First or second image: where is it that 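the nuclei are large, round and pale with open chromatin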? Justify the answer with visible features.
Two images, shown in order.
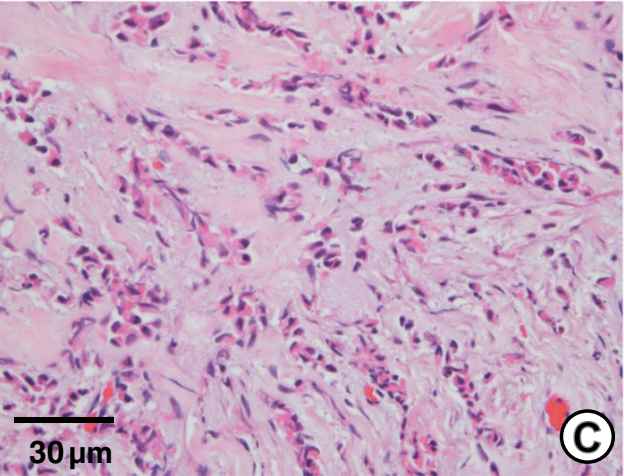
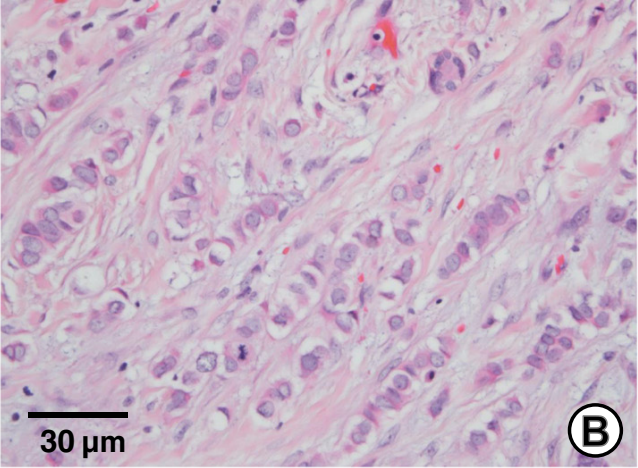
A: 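First image: small dark purple nuclei in deeply pink cells. The answer: the second image.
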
